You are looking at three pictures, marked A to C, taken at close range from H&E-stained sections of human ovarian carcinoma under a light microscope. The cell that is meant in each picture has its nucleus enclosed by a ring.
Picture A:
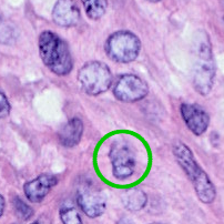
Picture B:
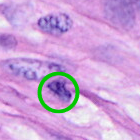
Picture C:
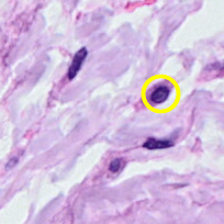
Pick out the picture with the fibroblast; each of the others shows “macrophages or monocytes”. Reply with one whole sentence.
The picture with the fibroblast is A.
